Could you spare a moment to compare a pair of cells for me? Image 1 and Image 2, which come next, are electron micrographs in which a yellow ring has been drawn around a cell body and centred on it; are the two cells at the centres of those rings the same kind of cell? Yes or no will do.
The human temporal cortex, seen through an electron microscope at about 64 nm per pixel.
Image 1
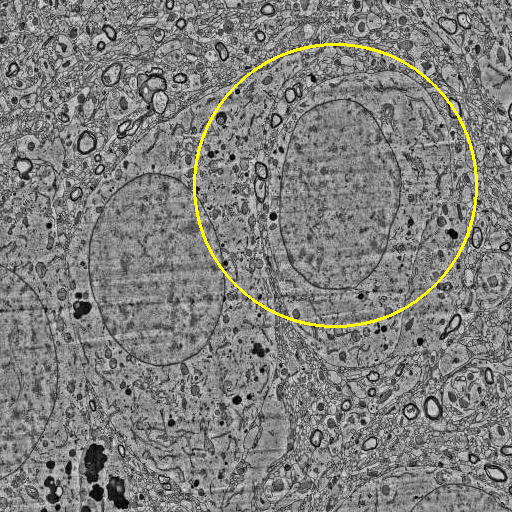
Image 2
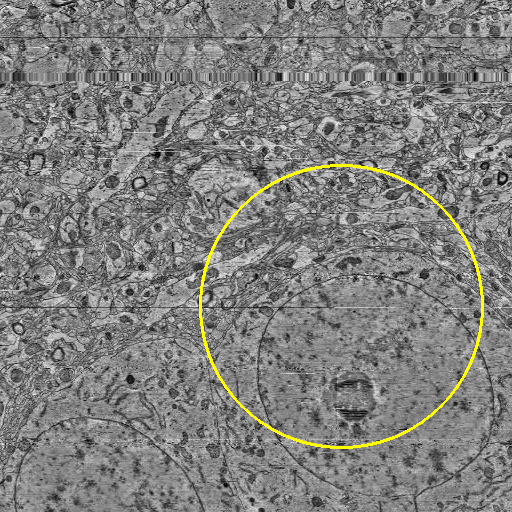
yes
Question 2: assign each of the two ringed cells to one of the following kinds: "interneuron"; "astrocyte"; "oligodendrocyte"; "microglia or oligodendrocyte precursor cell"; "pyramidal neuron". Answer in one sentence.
In both pictures the ring is centred on a pyramidal neuron.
